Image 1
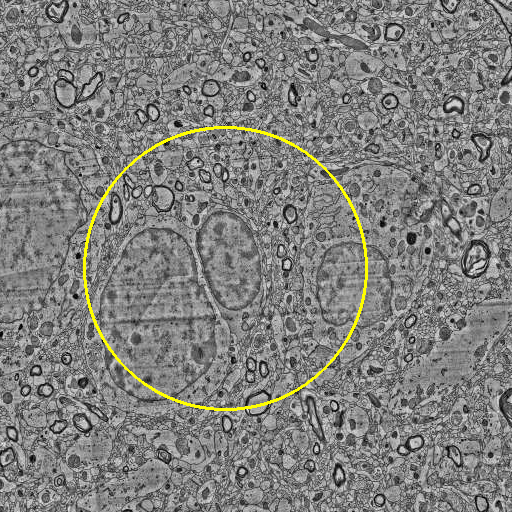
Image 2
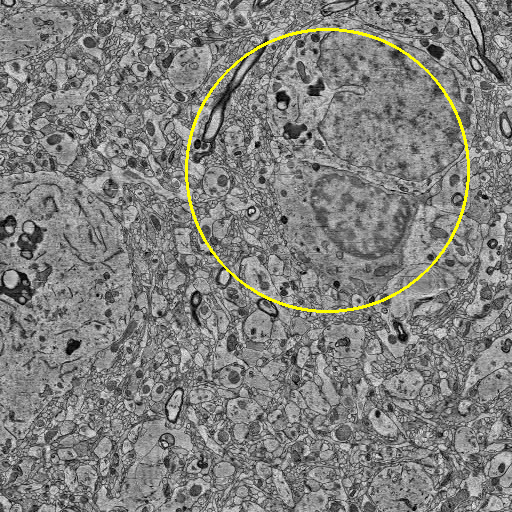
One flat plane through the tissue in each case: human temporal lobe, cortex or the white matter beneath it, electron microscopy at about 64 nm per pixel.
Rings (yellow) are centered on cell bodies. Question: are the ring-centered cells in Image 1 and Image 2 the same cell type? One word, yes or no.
yes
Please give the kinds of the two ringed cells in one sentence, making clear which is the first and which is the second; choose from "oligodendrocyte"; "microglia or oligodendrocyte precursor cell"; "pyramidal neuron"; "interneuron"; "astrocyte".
Both cells are the same kind, each one being an oligodendrocyte.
